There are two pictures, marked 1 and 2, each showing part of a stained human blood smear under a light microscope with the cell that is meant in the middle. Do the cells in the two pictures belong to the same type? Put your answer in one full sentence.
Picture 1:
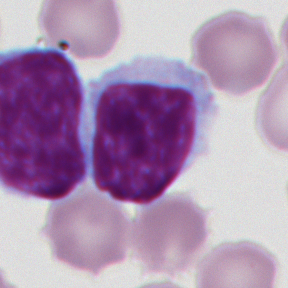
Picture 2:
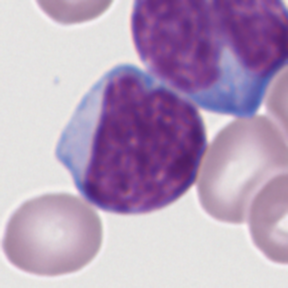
No, they differ: the cell is a typical lymphocyte in picture 1 and a myeloblast in picture 2.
